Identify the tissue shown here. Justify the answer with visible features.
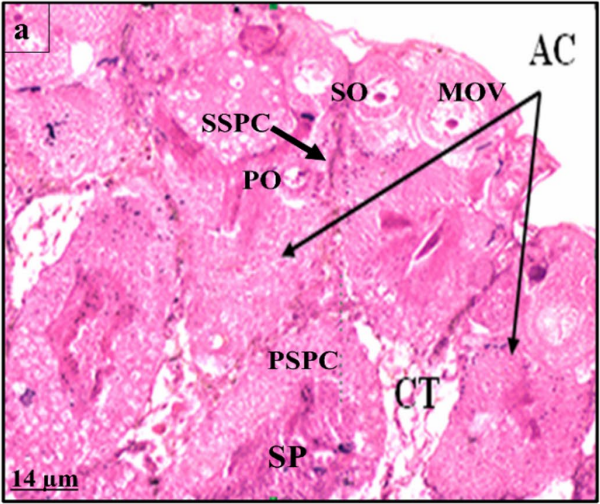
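Hermaphrodite gland. Large round oocytes with pale nuclei lie in acini. Masses of small germ cells fill the acini beside the oocytes. Thin connective tissue separates the acini.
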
